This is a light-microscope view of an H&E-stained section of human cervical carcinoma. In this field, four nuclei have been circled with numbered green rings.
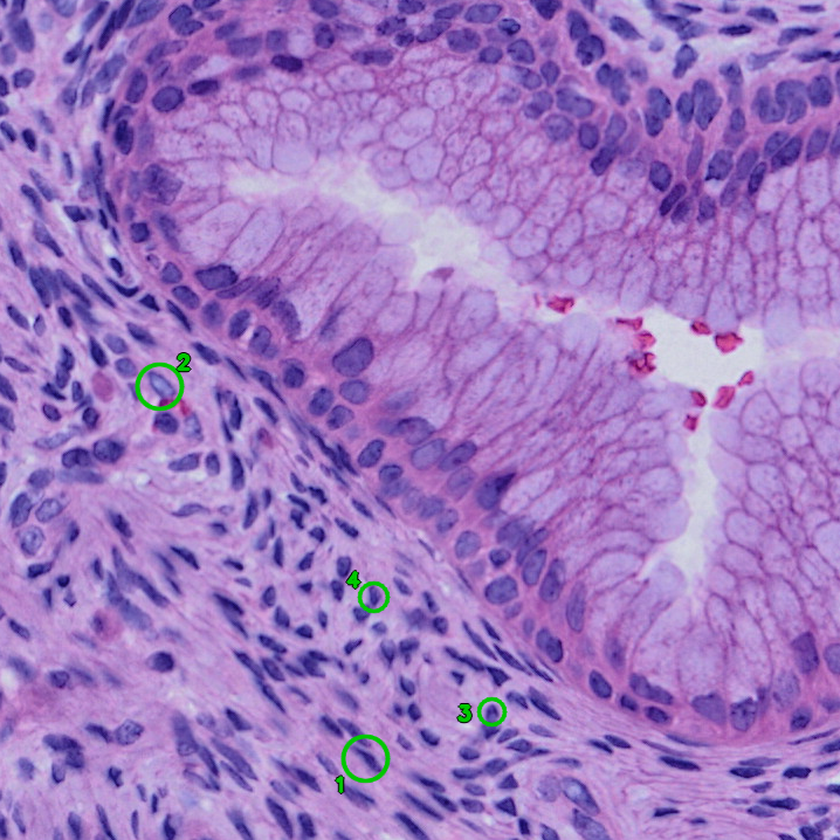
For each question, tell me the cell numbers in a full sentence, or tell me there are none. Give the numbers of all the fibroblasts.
Cells 1, 3 and 4 share one type; they are fibroblasts.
